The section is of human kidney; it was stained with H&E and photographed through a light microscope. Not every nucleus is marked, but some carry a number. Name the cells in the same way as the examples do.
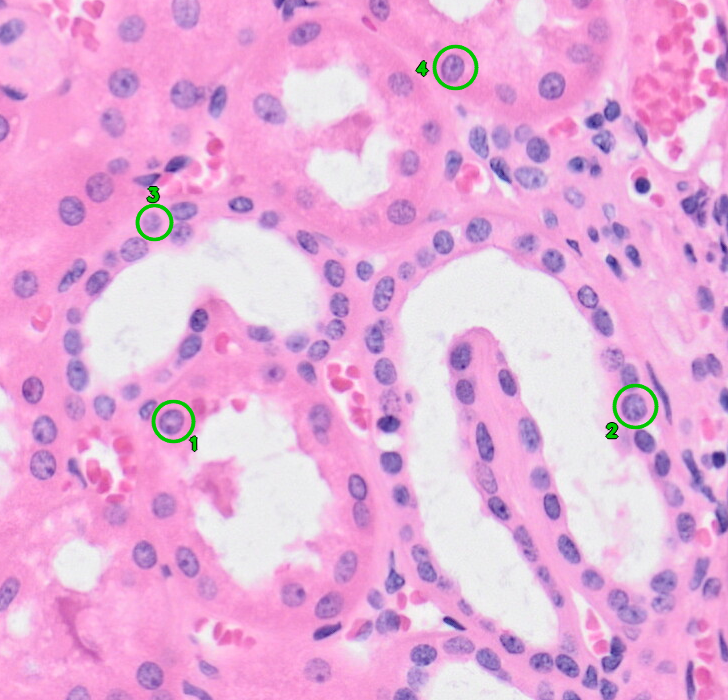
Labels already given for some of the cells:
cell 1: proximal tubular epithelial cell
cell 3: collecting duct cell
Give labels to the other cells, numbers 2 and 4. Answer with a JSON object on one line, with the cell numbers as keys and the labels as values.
{"2": "collecting duct cell", "4": "proximal tubular epithelial cell"}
